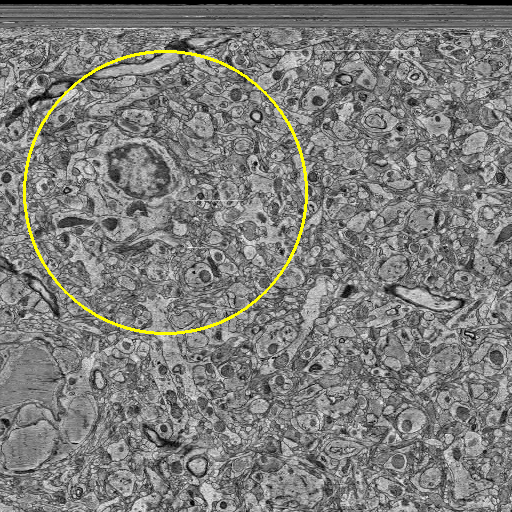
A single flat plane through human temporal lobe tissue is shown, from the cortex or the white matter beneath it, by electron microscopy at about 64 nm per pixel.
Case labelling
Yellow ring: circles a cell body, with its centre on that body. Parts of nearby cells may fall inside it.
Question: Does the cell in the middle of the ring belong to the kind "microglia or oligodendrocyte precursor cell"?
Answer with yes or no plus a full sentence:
Yes, in this picture the cell in the middle of the yellow ring belongs to that kind.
